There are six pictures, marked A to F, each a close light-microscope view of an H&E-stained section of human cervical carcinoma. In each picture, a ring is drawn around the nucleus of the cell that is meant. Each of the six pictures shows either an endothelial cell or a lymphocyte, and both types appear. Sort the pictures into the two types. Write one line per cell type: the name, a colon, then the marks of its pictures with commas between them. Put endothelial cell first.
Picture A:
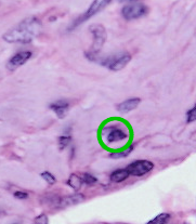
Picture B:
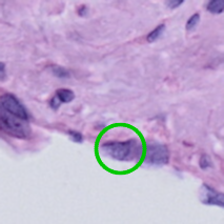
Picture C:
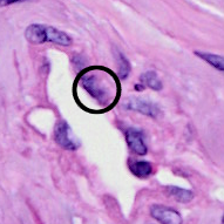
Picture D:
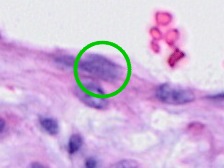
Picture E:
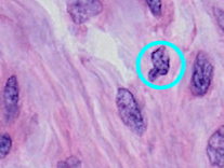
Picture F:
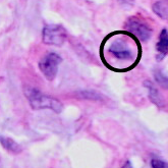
endothelial cell: B, C, D
lymphocyte: A, E, F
